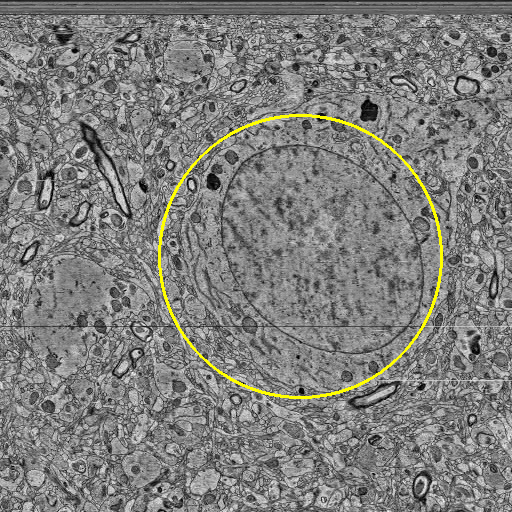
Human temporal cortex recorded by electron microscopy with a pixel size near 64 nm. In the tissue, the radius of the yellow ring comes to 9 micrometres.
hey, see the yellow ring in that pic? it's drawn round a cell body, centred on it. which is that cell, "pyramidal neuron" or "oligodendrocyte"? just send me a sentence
The cell in the ring is a pyramidal neuron.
